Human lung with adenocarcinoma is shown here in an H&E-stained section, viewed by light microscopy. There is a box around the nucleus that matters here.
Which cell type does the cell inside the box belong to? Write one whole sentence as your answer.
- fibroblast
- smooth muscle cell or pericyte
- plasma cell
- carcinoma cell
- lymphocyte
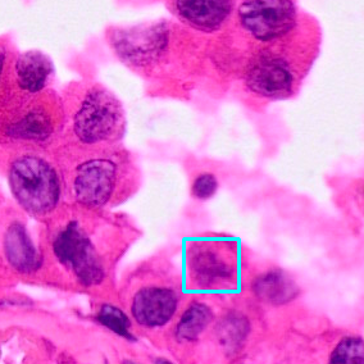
With respect to cell type, the cell inside the box is a carcinoma cell.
